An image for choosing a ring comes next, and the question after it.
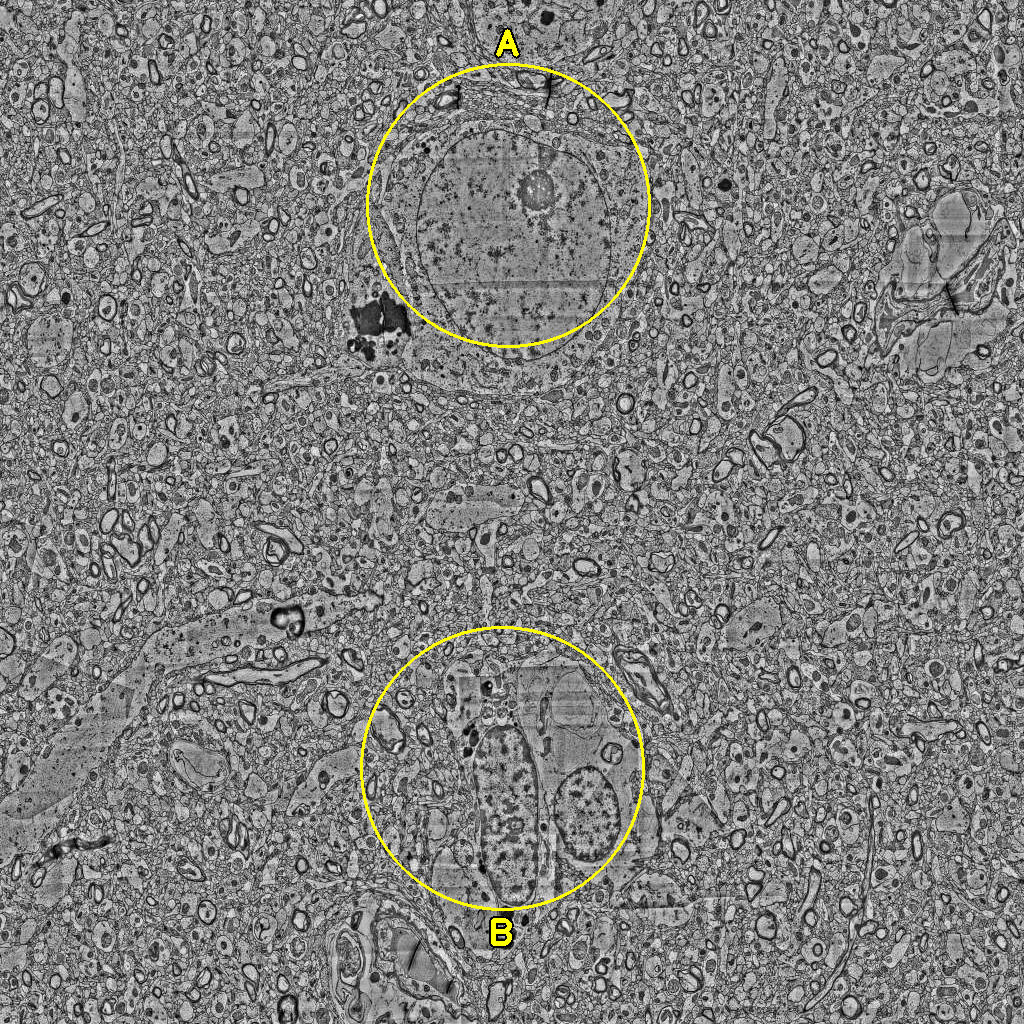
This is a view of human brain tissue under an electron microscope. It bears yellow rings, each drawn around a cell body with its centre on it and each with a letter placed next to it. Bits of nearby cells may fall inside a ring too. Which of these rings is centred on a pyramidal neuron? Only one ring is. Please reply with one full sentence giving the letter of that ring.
Of all the lettered rings, A is the one centred on a cell of that kind.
